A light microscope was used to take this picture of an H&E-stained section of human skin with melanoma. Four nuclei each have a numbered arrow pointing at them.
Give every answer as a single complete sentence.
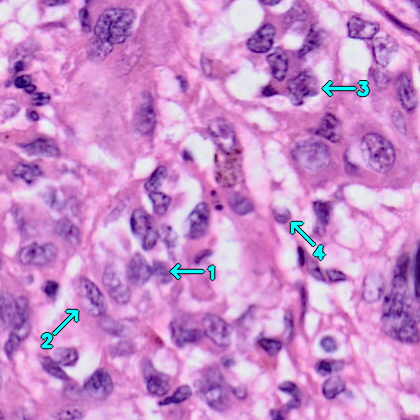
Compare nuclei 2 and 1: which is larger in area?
Nucleus 2 covers more area, about 4 times as much as nucleus 1.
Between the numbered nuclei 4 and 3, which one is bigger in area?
The larger nucleus is 3, at roughly 4 times the area of 4.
